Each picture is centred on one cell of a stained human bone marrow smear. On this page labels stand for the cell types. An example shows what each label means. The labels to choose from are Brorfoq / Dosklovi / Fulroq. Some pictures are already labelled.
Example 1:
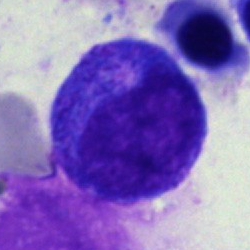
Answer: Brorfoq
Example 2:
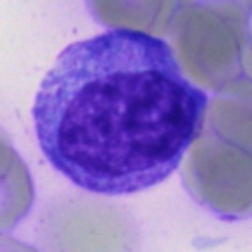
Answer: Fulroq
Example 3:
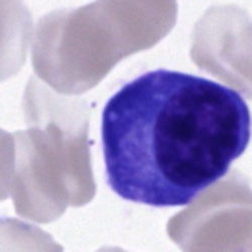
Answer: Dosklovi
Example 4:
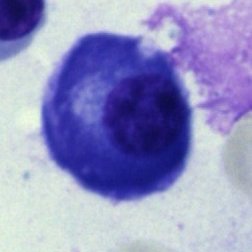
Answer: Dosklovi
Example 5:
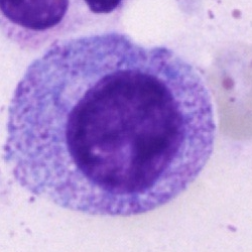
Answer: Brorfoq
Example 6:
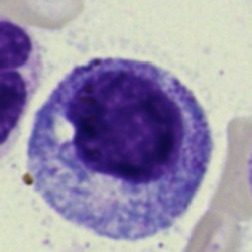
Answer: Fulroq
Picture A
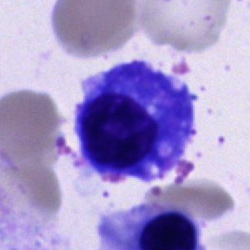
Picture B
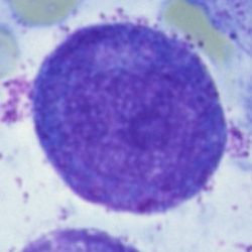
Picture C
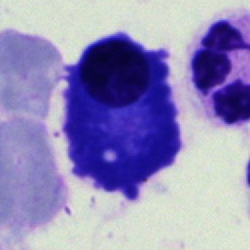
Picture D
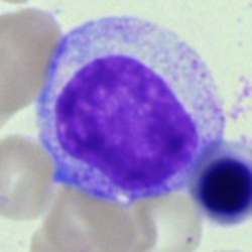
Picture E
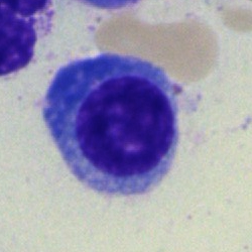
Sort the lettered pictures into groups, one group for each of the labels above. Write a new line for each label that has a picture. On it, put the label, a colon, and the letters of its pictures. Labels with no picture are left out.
Brorfoq: B
Dosklovi: A, C, E
Fulroq: D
